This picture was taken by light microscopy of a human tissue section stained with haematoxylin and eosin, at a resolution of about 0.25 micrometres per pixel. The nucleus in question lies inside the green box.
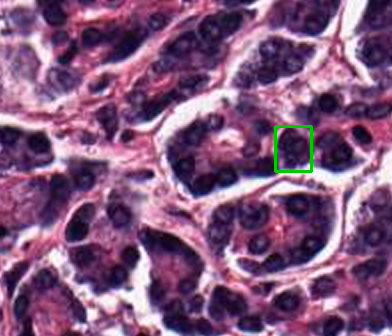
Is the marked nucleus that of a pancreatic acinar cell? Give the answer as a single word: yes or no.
yes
